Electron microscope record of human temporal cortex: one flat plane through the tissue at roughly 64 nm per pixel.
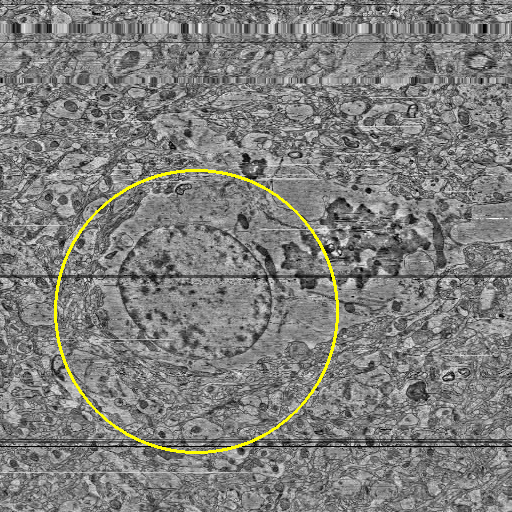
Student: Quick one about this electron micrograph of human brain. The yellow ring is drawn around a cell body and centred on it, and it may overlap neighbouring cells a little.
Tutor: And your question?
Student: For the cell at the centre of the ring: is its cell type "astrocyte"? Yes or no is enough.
yes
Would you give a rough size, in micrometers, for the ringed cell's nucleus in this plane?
Roughly 10 micrometres by 9 micrometres, in this plane.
